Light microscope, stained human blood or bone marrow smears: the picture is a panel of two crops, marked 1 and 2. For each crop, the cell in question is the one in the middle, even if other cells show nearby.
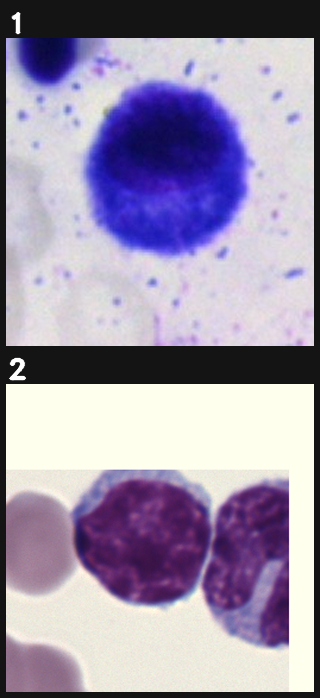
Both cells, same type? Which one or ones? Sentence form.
No, crop 1 shows a plasma cell, and crop 2, by contrast, shows a lymphocyte.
